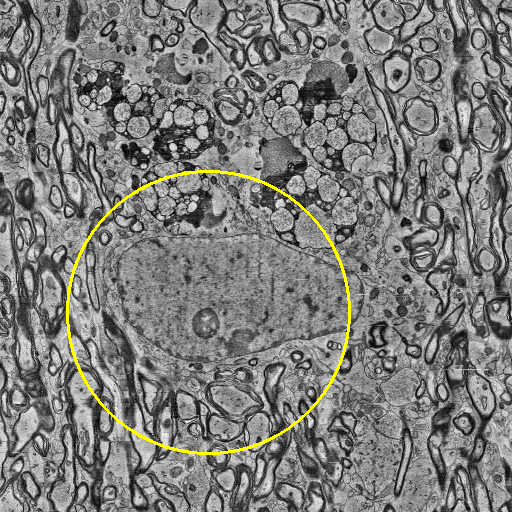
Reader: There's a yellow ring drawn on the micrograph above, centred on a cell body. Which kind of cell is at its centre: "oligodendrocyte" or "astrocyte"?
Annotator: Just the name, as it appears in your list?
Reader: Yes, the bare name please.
astrocyte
